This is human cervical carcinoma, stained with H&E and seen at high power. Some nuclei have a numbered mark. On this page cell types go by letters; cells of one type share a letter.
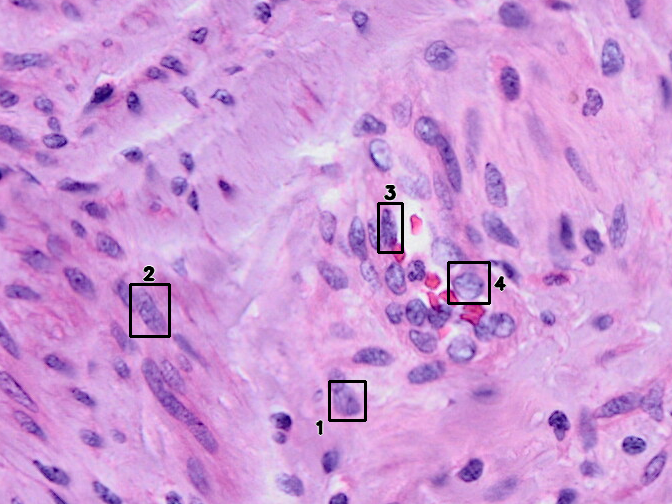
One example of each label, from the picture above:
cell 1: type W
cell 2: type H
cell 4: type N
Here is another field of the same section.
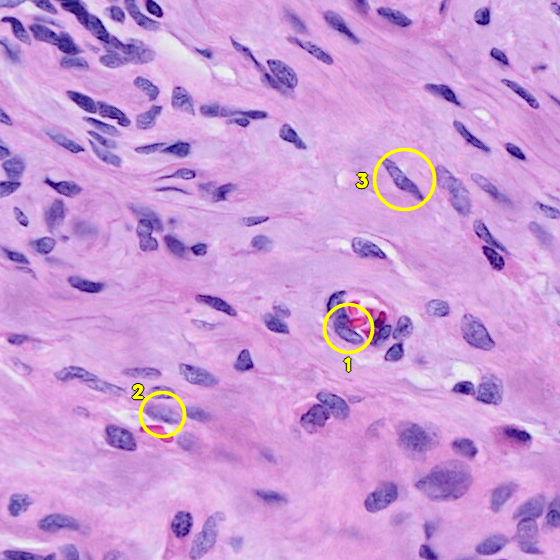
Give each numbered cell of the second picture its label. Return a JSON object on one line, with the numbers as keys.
{"1": "type N", "2": "type N", "3": "type W"}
